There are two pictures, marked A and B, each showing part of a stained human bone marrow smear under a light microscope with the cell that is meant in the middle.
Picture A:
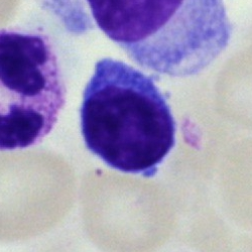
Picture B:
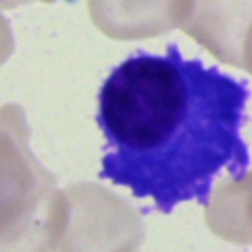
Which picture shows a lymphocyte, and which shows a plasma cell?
A: lymphocyte
B: plasma cell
